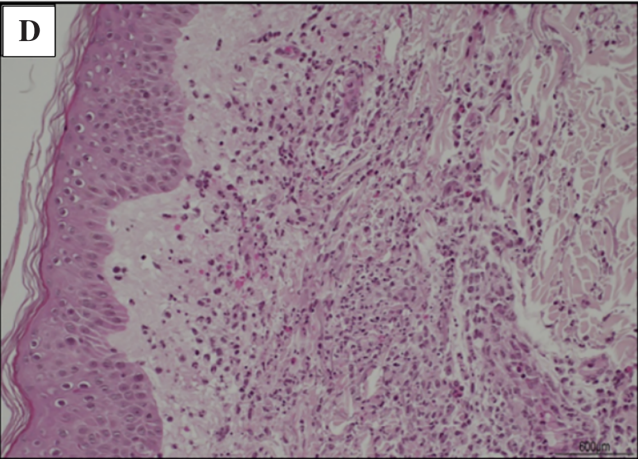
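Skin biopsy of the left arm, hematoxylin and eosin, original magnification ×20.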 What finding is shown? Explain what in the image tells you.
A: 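Papillary dermis edema. A pale, loose, washed-out zone lies just beneath the epidermis. The collagen in this zone is sparse and separated.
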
